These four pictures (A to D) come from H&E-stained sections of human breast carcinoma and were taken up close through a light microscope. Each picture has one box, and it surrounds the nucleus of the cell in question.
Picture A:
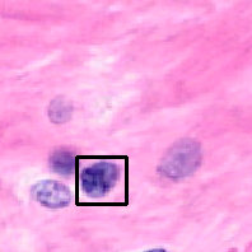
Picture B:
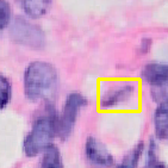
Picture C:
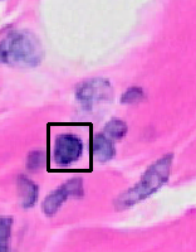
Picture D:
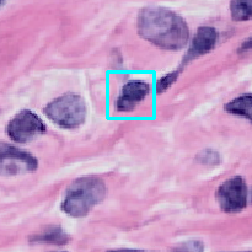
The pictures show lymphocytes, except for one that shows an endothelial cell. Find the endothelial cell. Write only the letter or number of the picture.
B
